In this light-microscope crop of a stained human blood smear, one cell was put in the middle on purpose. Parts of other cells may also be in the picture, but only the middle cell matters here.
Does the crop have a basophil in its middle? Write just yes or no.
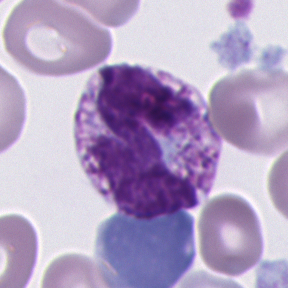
yes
